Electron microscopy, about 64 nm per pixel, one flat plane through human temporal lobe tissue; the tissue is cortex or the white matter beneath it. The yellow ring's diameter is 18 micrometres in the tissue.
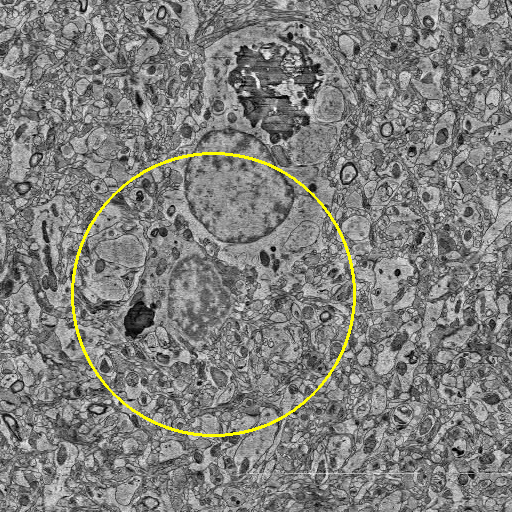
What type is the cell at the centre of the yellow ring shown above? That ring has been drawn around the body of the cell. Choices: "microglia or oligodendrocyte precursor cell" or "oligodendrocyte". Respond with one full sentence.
My answer is that an oligodendrocyte lies at the centre of the yellow ring above.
